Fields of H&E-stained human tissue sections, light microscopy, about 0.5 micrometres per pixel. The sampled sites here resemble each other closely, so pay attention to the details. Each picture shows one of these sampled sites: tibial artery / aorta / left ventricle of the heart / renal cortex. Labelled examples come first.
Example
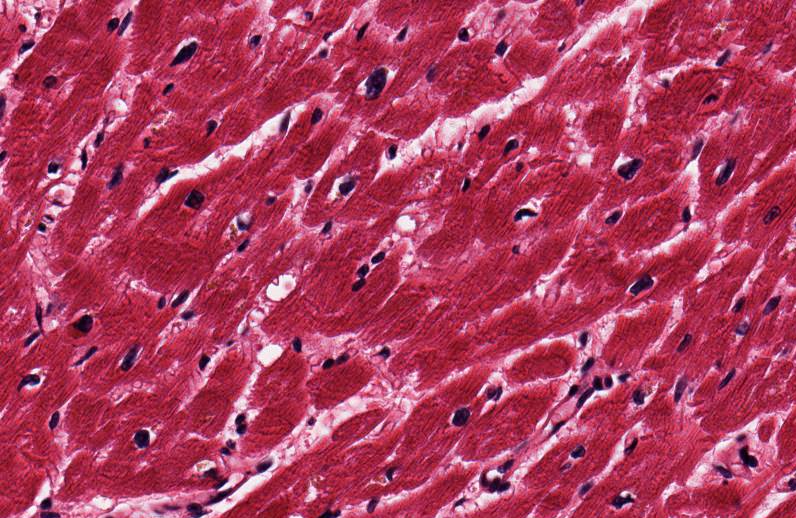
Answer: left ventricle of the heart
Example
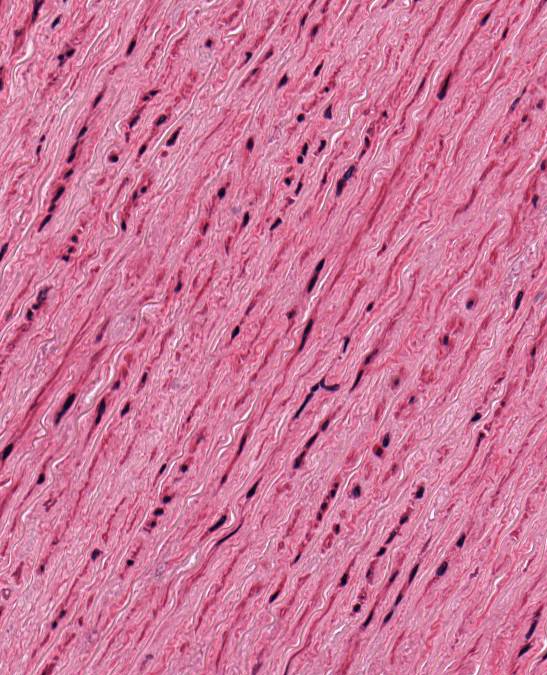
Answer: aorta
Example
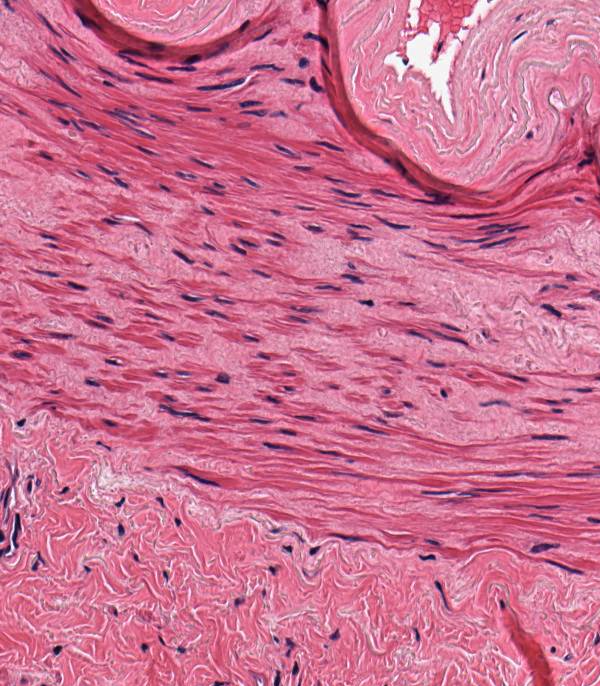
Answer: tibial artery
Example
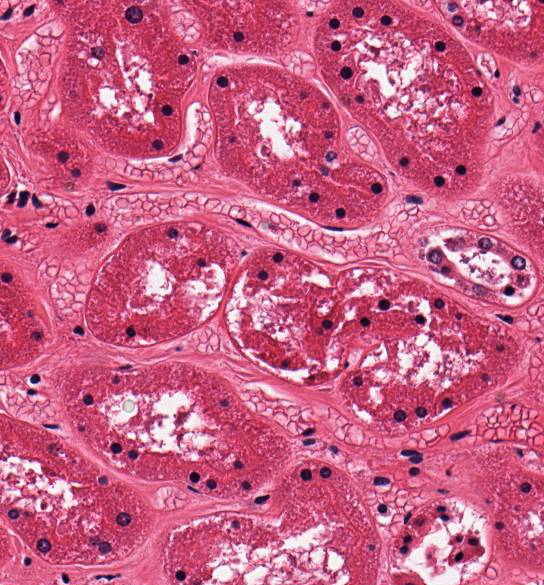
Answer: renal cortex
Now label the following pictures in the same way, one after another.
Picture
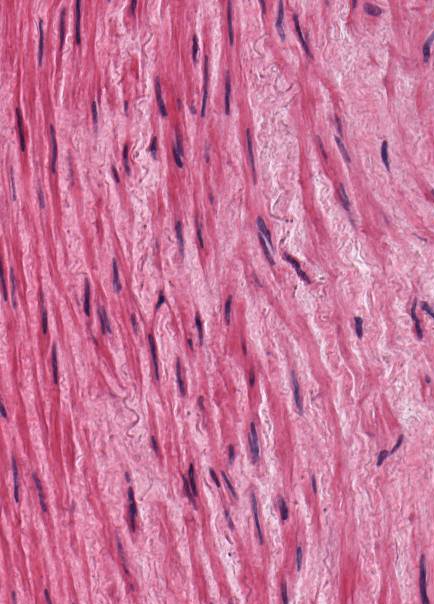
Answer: tibial artery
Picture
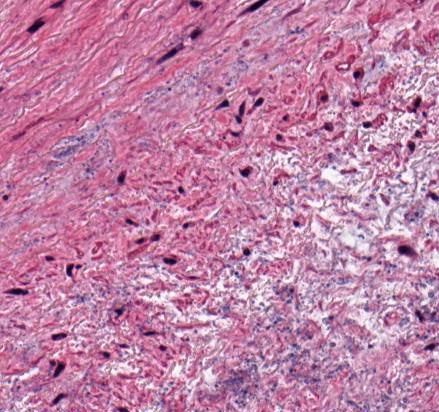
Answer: aorta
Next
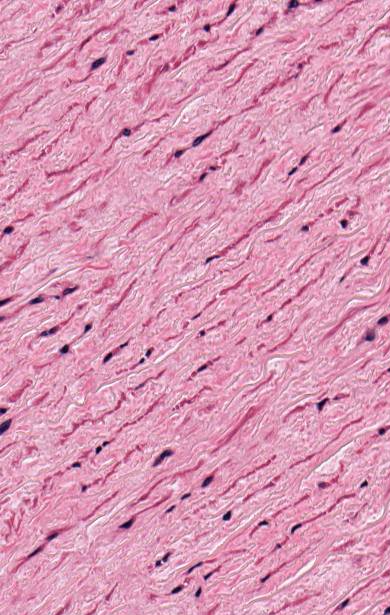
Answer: aorta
